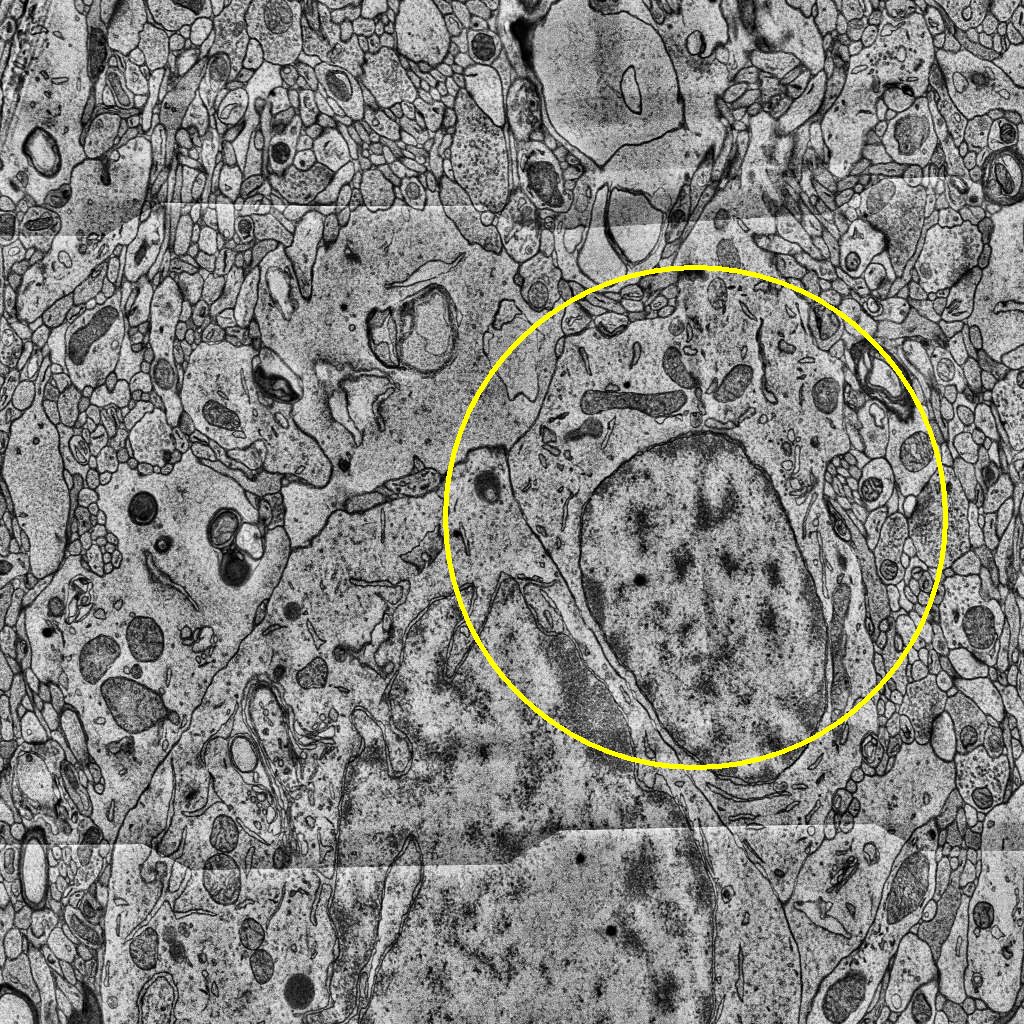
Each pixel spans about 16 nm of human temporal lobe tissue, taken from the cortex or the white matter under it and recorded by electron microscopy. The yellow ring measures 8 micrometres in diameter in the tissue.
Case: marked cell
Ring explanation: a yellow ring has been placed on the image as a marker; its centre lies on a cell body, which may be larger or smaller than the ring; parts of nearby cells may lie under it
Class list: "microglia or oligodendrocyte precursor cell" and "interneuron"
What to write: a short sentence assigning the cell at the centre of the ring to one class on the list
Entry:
The cell at the ring's centre is a microglial cell or oligodendrocyte precursor cell.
